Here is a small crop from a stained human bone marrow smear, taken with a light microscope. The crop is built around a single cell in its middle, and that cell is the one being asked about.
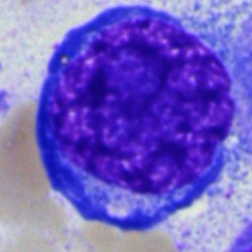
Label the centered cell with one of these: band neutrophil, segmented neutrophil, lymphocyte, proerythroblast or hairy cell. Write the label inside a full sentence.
The central cell shown in this smear crop is a proerythroblast.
